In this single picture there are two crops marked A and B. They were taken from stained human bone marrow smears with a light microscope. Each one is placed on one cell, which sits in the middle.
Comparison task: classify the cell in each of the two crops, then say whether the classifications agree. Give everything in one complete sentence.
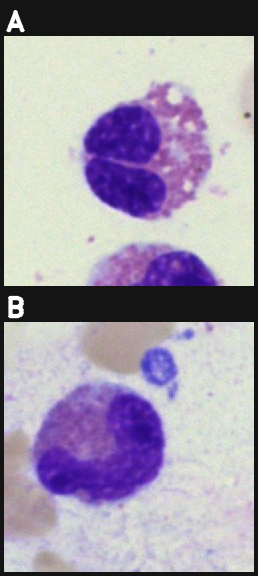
Yes, in both crops, basophils are the cells at the middle.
